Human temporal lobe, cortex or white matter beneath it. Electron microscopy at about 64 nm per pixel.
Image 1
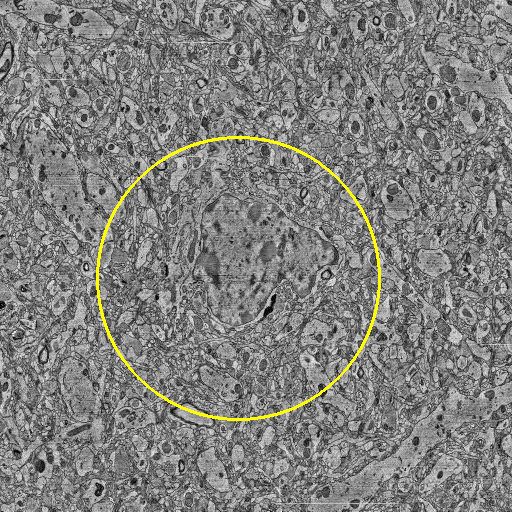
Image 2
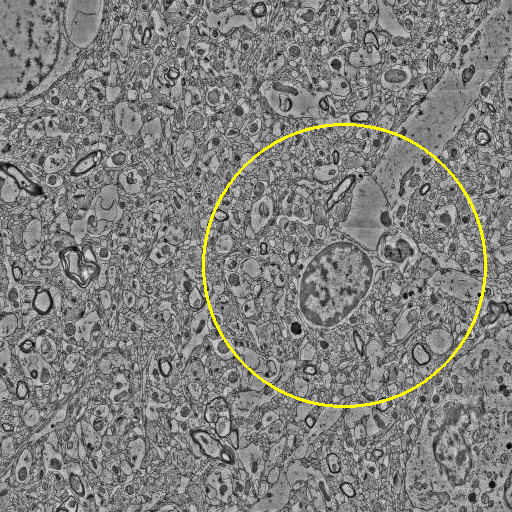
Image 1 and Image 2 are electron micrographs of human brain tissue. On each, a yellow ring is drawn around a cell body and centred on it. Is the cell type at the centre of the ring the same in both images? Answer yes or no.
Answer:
yes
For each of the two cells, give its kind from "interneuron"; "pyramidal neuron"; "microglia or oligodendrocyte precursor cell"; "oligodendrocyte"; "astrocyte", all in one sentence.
In the first picture and in the second, the ring is centred on a microglial cell or oligodendrocyte precursor cell.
